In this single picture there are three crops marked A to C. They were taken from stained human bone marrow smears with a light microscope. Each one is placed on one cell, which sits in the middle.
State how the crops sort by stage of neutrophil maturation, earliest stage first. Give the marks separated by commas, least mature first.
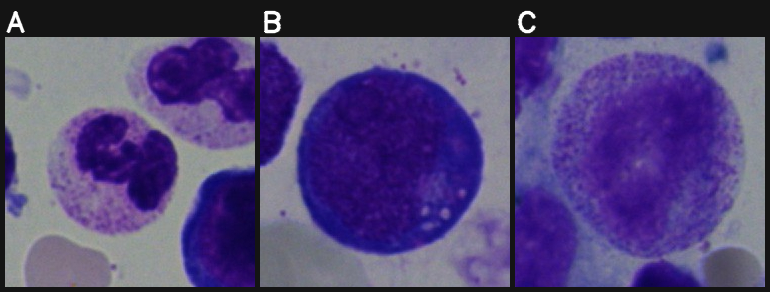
B, C, A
